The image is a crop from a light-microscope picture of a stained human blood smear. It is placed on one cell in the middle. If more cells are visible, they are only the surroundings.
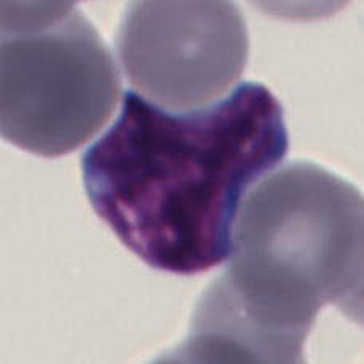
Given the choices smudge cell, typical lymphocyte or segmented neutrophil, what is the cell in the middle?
typical lymphocyte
